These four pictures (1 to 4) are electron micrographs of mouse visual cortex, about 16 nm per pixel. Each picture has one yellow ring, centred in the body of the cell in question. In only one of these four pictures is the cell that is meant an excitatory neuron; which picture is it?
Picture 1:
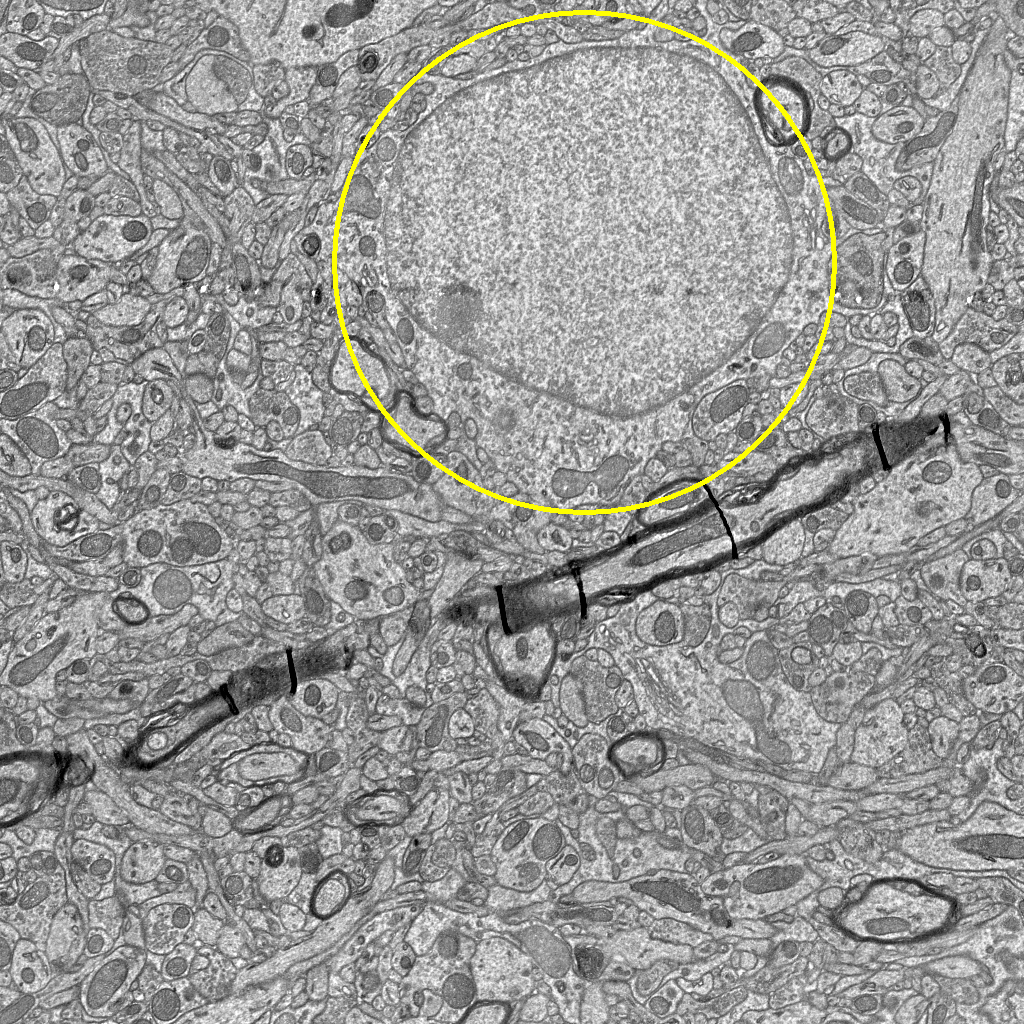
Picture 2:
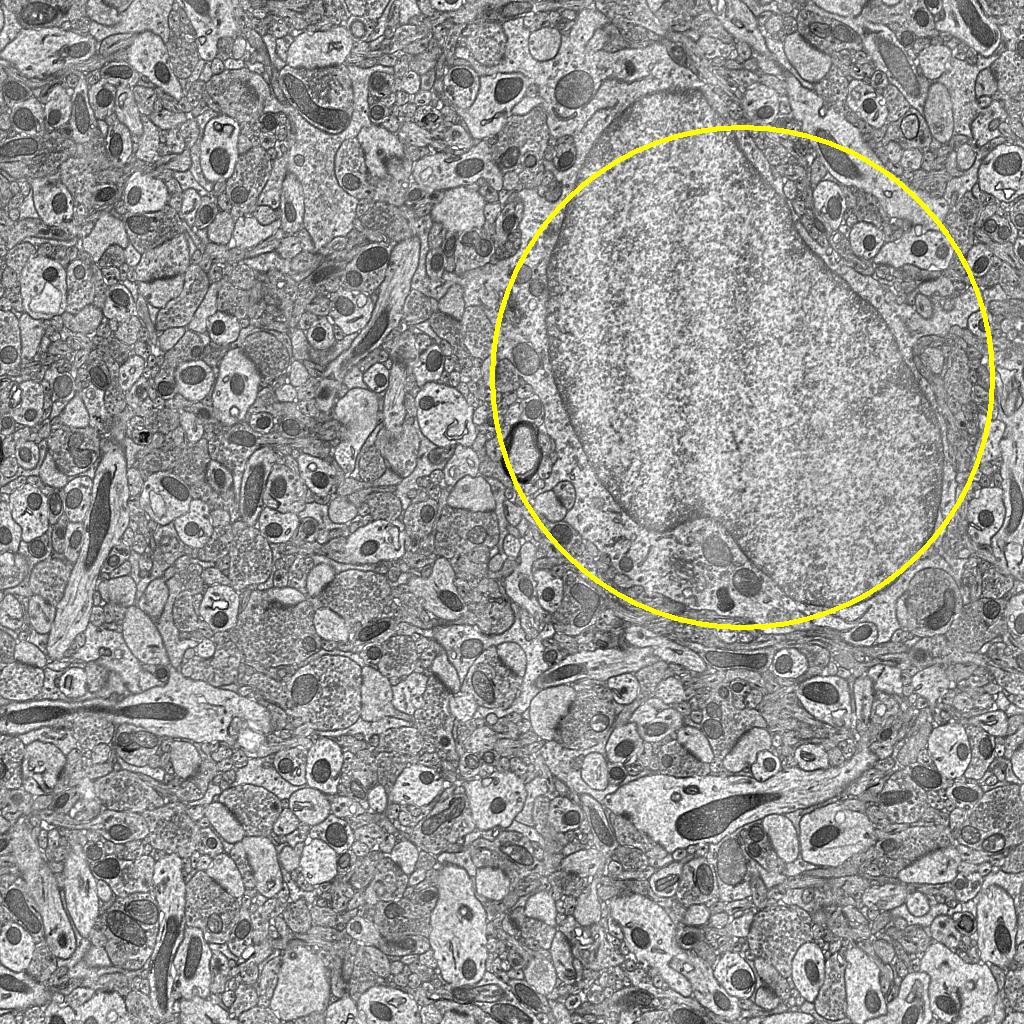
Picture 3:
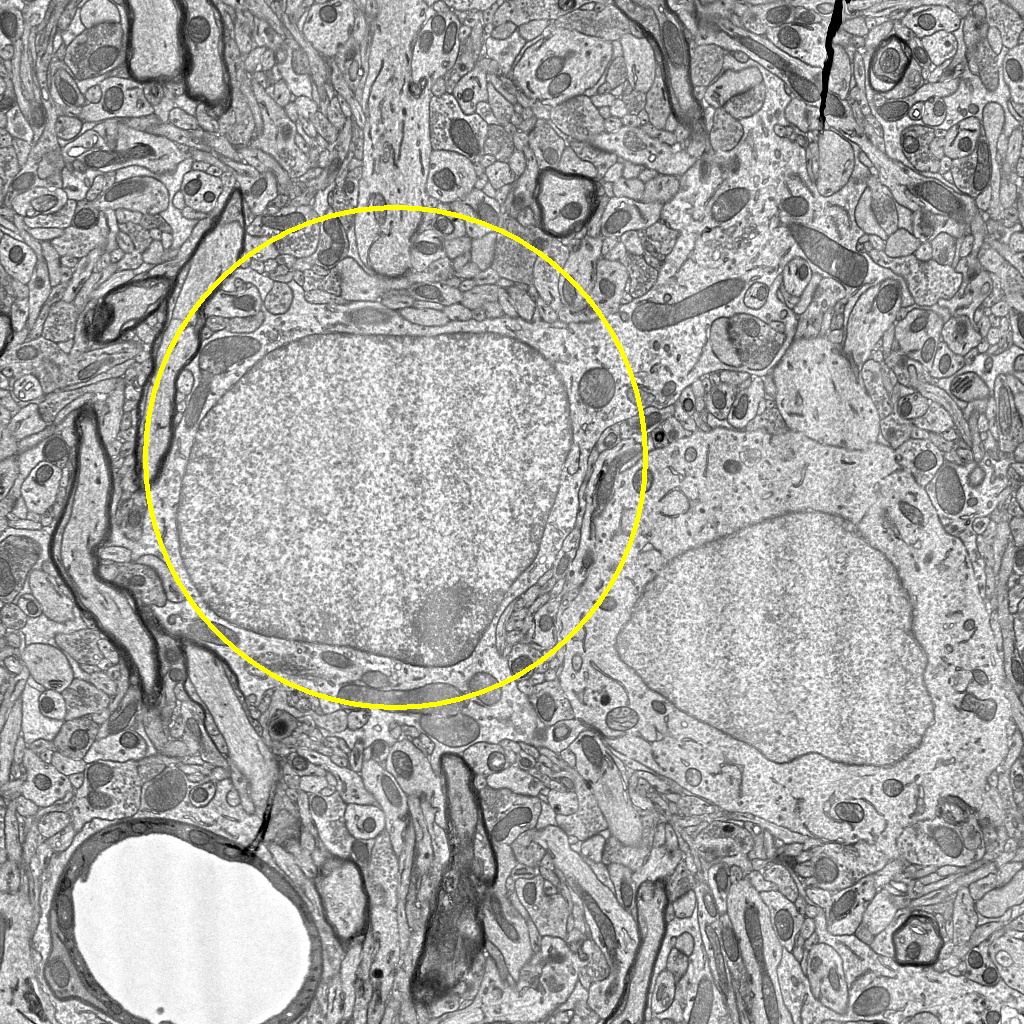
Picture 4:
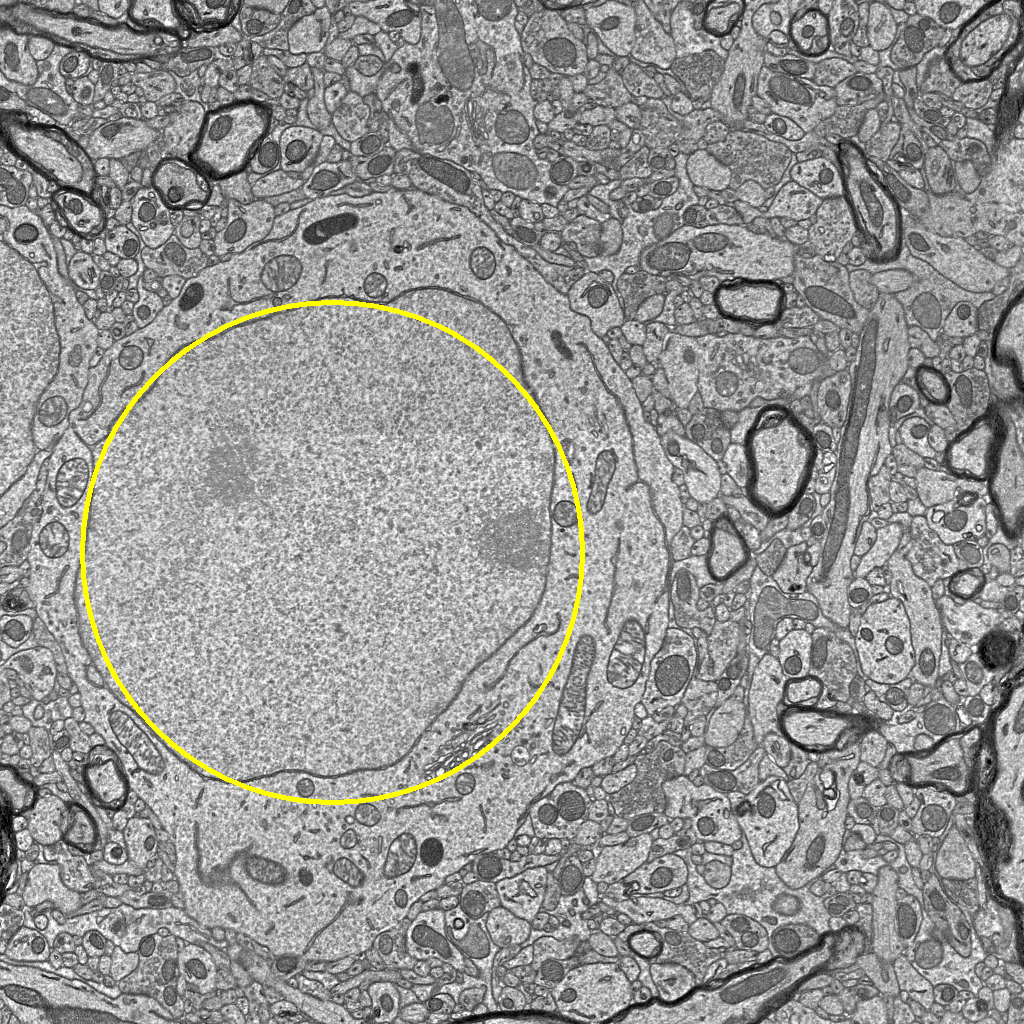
It is picture 4 that shows the excitatory neuron.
